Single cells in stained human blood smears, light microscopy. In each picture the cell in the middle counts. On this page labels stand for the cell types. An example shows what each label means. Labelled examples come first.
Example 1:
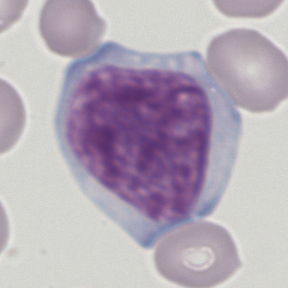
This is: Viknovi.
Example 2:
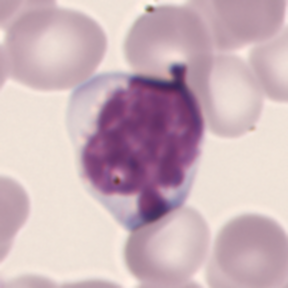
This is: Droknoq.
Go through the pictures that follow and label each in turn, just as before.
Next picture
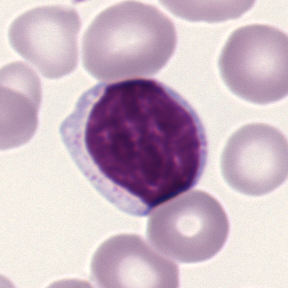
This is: Droknoq.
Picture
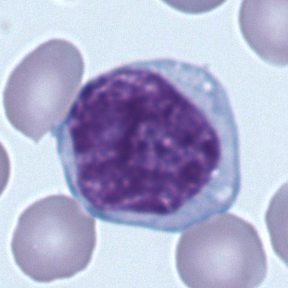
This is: Viknovi.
